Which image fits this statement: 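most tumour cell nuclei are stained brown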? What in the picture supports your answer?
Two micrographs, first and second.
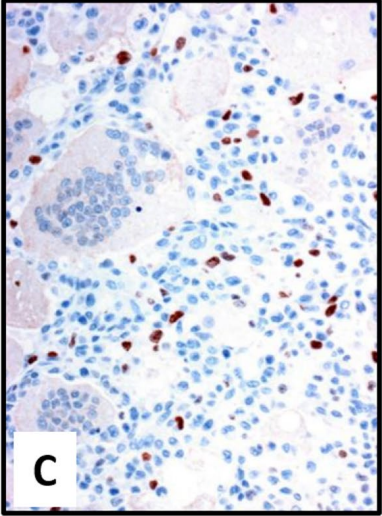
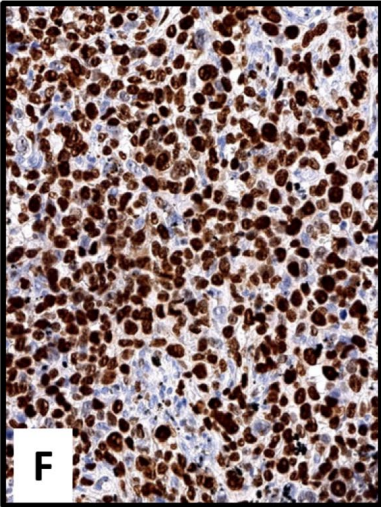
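Second image: the large majority of nuclei are dark brown. First image: only a few scattered nuclei are brown, most are blue. On this evidence: the second image.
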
